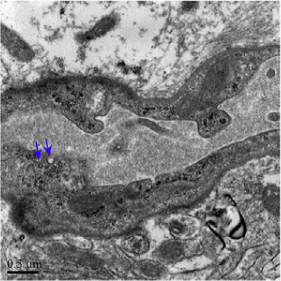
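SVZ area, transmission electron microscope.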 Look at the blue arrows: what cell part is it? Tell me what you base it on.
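A small cluster of tiny round vesicles lies in the cytoplasm. So: pinocytotic vesicles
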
